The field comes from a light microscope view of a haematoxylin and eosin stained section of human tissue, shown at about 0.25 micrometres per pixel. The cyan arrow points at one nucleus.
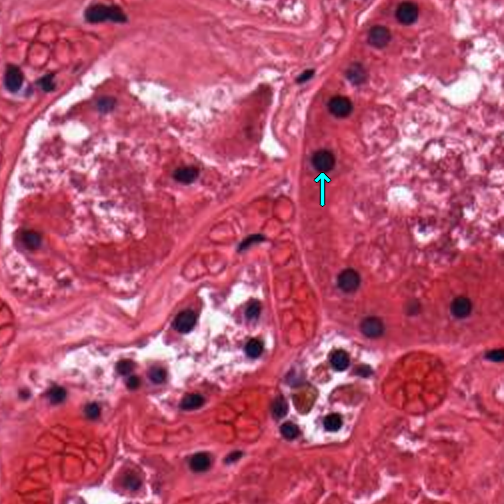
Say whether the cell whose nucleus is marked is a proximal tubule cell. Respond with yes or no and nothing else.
yes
